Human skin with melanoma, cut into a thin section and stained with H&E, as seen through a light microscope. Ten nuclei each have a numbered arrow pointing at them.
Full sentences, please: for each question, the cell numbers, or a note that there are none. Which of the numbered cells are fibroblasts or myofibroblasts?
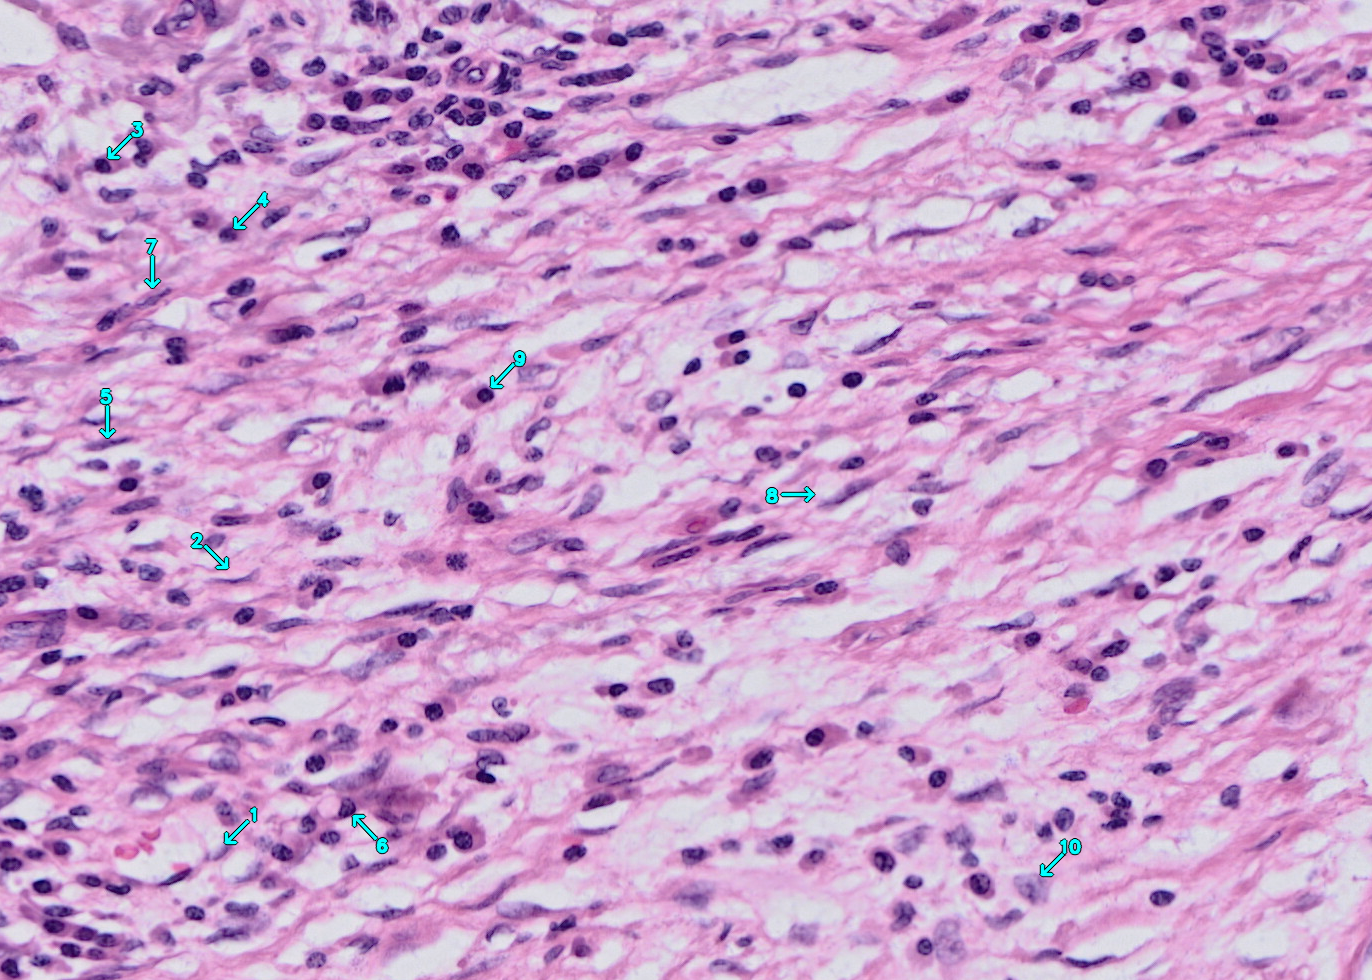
The cells with labels 1, 2, 5, 7, 8 and 10 are fibroblasts or myofibroblasts.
